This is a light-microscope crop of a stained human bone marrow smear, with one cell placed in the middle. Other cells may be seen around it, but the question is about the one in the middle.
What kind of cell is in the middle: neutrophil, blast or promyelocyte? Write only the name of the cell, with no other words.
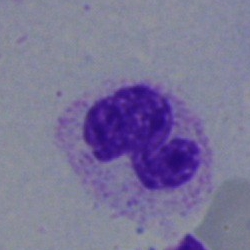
neutrophil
